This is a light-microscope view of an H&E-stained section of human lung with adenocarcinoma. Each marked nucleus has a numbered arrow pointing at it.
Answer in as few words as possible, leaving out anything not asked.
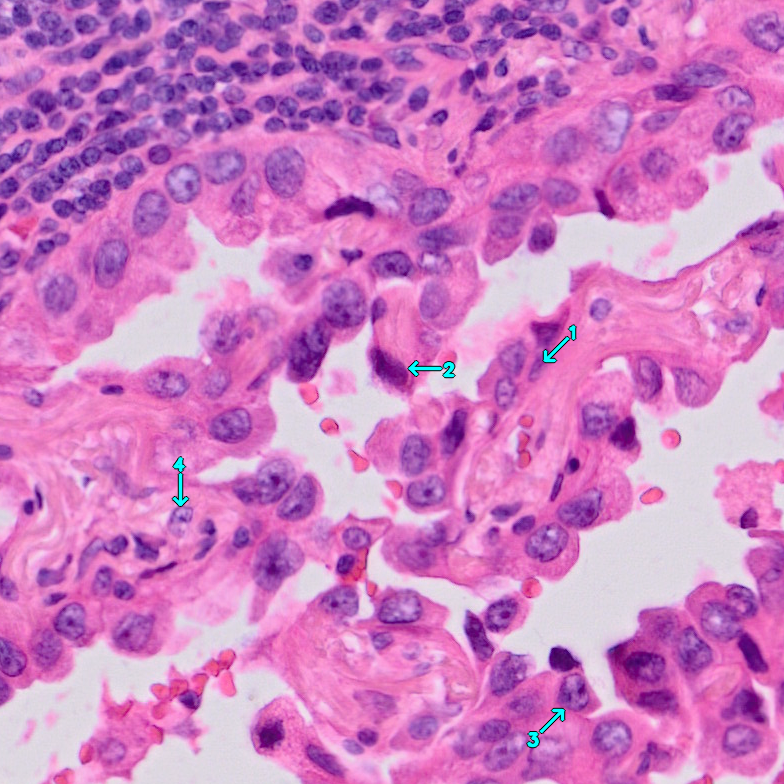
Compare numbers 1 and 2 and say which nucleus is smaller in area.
1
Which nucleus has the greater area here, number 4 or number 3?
3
